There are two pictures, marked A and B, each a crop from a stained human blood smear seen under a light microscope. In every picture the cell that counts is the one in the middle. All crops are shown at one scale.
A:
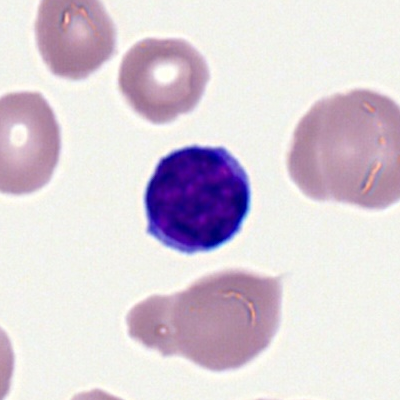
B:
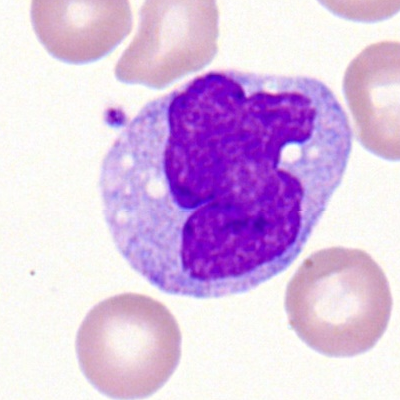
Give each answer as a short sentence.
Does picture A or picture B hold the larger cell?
Larger is the cell in picture B, at roughly 4 times the area of the other.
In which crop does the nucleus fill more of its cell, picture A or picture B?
Of the two, the nucleus in picture A makes up the greater part of its cell.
